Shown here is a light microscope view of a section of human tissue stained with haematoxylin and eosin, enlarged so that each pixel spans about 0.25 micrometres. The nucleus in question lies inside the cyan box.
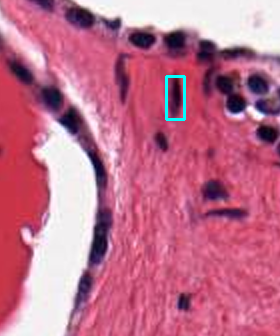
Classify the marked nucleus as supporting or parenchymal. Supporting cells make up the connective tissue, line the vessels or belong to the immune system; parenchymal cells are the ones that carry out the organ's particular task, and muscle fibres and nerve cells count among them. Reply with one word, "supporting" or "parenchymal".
supporting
